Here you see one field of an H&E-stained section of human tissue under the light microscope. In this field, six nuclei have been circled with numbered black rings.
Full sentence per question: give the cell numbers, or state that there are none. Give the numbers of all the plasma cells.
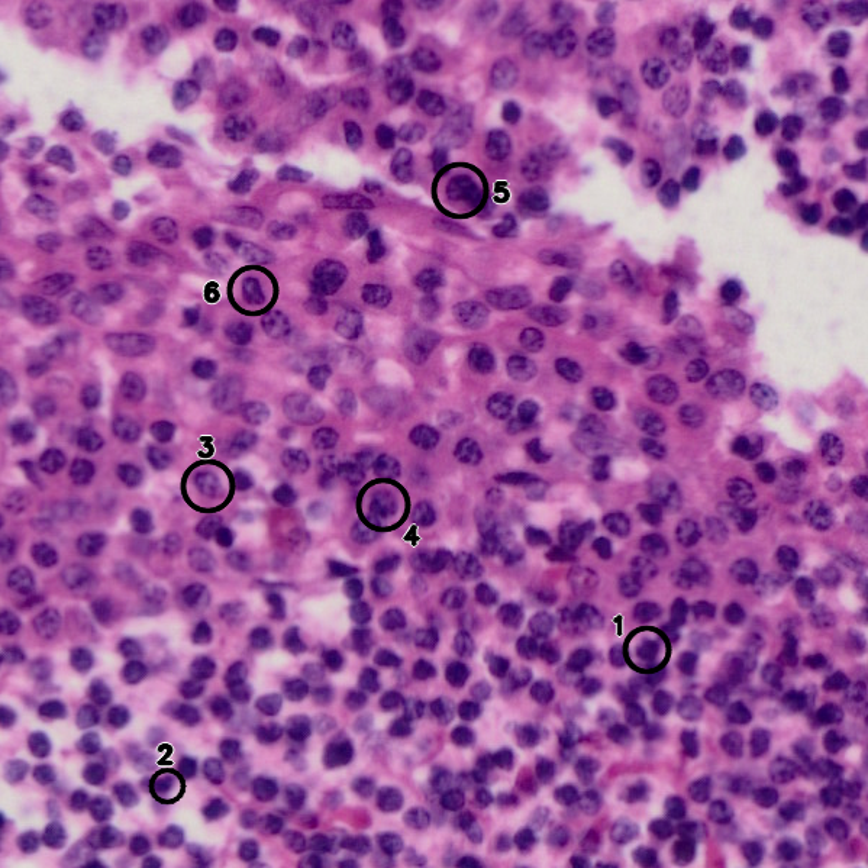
The cells whose numbers are 3, 4, 5 and 6 are plasma cells.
